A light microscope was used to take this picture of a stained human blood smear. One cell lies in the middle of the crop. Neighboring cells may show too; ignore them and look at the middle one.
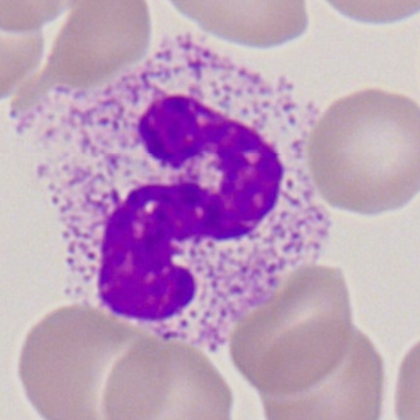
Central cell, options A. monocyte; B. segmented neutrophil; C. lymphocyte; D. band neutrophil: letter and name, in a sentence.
The best answer is option D, since the cell in the middle is a band neutrophil.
